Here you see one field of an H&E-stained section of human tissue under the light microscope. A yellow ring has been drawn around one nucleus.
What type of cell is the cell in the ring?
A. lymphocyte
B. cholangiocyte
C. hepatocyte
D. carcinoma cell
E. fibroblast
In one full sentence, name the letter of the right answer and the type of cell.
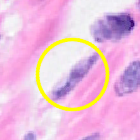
Under option E, the cell in the ring is a fibroblast, which is the correct identification.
